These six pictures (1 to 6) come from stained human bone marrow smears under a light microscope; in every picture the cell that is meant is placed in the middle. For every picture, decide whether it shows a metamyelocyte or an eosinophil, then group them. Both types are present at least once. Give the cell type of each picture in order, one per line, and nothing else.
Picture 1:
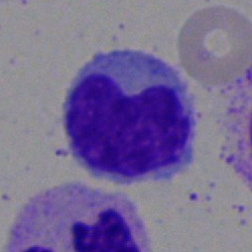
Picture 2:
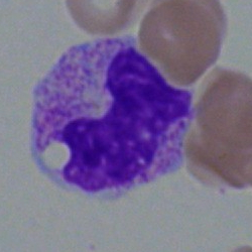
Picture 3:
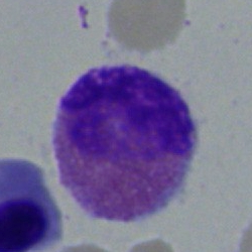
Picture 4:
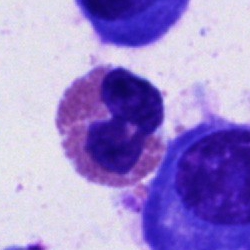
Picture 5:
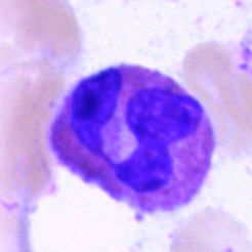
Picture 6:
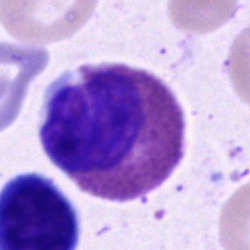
metamyelocyte
metamyelocyte
eosinophil
eosinophil
eosinophil
eosinophil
